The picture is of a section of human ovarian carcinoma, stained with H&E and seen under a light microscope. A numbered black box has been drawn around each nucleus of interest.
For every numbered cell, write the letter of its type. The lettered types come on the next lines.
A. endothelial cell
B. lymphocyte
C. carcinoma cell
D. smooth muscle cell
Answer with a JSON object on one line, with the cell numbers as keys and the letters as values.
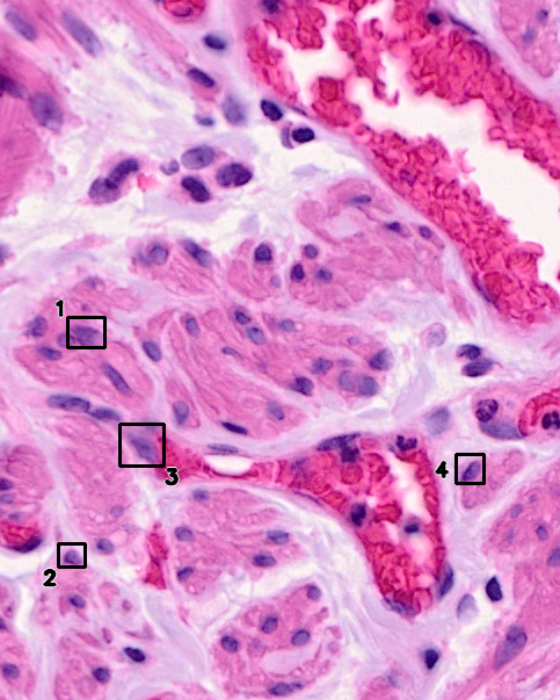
{"1": "D", "2": "D", "3": "A", "4": "D"}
